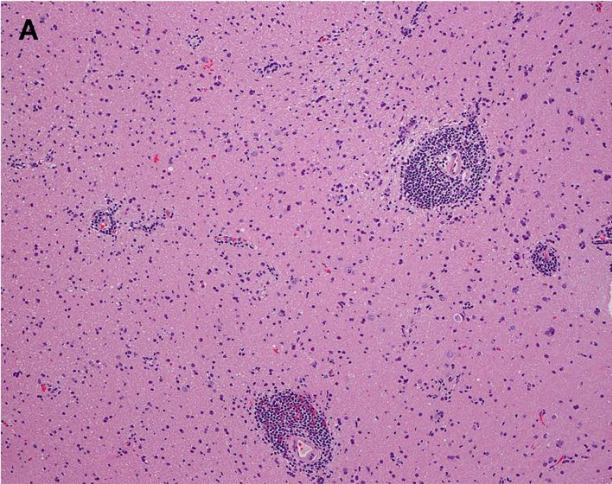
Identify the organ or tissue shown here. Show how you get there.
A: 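Pale pink fibrillary background with scattered small nuclei. No glands, epithelium or lumen-lined organ structure.
Hence: brain tissue.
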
